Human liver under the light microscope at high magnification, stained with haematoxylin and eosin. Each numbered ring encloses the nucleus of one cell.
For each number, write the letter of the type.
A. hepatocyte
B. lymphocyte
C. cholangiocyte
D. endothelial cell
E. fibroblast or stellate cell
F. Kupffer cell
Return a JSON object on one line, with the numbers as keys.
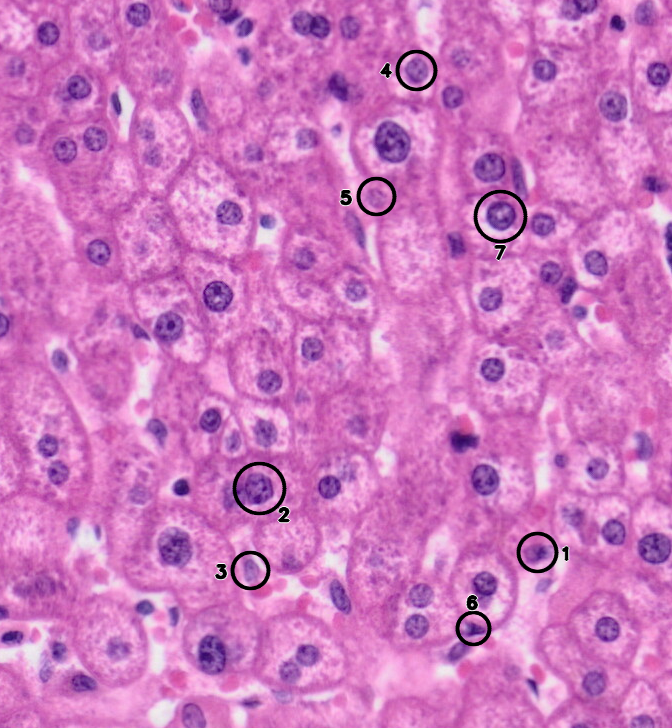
{"1": "F", "2": "A", "3": "F", "4": "A", "5": "A", "6": "E", "7": "A"}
